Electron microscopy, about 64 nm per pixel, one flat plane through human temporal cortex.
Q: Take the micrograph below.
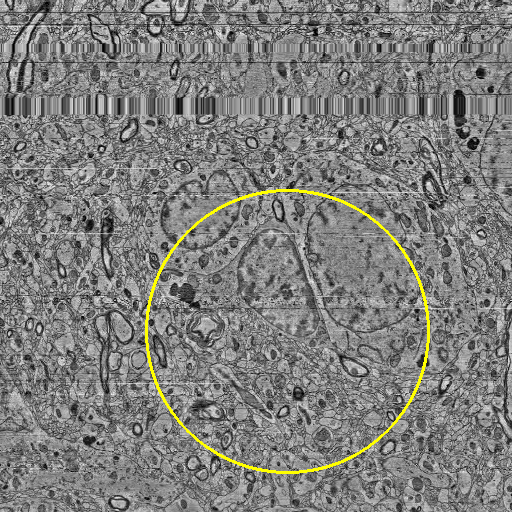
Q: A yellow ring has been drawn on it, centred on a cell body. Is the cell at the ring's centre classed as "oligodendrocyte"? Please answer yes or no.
Yes, that is its kind.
